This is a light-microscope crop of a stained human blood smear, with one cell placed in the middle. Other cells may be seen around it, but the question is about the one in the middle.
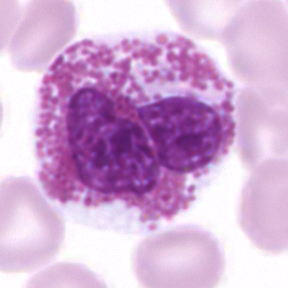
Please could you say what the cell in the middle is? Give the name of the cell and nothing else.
eosinophil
